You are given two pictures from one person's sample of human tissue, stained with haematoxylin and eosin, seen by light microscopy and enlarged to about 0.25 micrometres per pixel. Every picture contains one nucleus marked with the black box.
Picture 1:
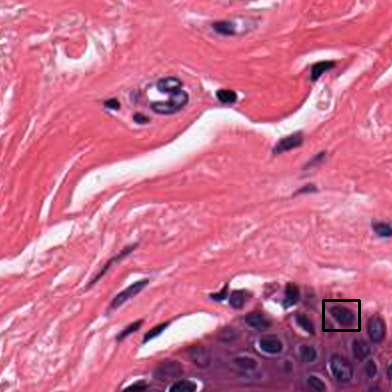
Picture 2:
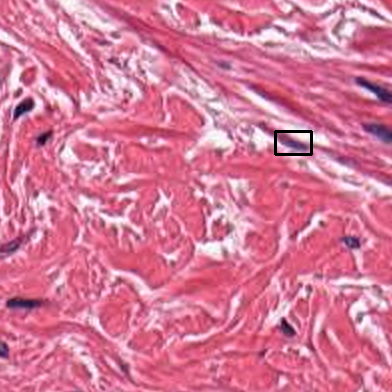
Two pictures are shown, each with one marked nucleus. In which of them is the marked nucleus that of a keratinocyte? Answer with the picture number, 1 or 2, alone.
1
